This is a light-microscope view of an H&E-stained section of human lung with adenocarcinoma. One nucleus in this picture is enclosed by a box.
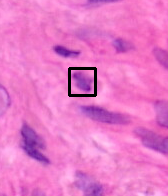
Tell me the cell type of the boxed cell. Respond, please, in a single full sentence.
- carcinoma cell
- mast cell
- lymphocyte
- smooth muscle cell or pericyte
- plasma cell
Recorded by type, the boxed cell is a smooth muscle cell or pericyte.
